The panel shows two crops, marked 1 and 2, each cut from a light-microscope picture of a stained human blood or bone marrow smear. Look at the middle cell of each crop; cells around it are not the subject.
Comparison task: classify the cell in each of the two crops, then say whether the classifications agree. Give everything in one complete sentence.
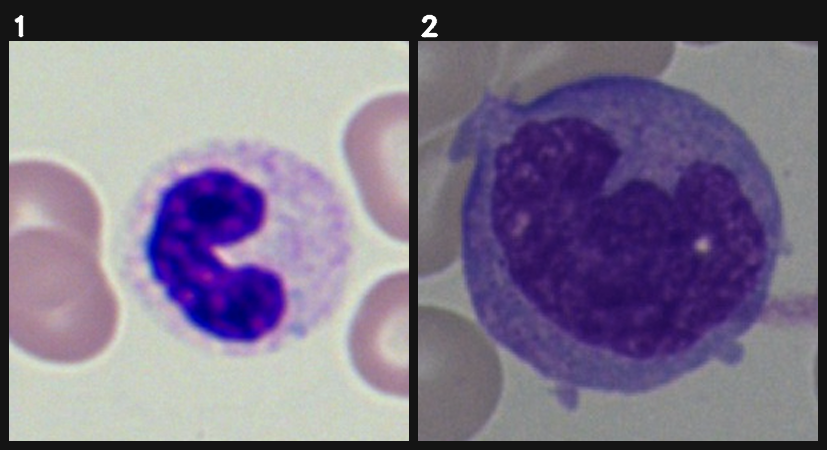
No, the cells are a band neutrophil in crop 1 and a monocyte in crop 2.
